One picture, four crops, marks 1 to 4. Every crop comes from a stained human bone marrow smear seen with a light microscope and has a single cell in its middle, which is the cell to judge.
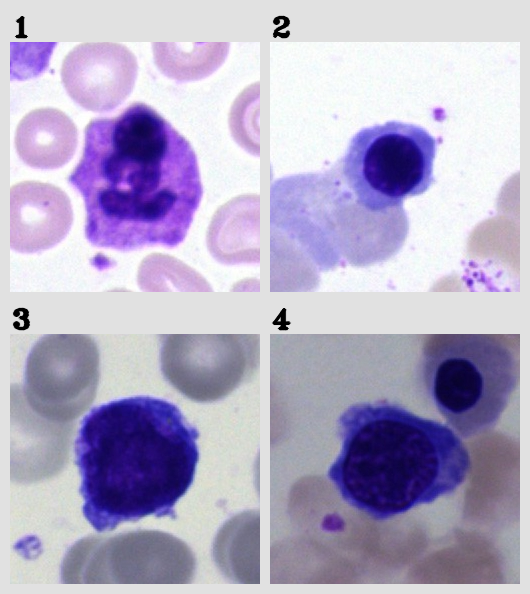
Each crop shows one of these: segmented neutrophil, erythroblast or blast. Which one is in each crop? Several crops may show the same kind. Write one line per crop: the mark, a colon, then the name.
1: segmented neutrophil
2: erythroblast
3: blast
4: erythroblast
